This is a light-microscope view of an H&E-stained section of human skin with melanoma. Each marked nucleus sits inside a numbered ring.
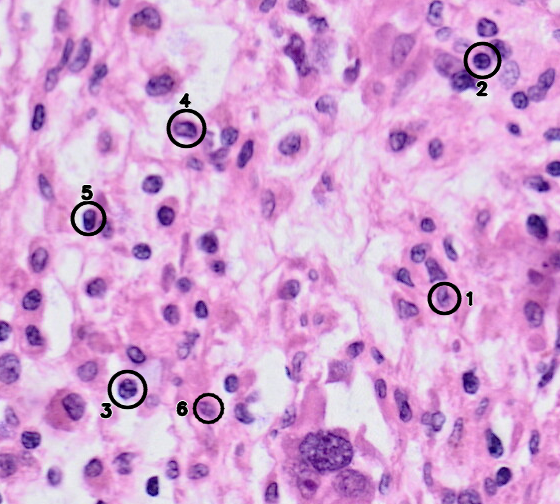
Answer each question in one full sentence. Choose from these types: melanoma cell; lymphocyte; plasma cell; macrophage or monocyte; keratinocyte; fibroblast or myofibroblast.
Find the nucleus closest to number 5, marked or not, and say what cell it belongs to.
Number 5 lies closest to the nucleus of a macrophage or monocyte.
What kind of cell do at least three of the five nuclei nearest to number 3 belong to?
Macrophages or monocytes account for more than half of the five nuclei nearest to number 3.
